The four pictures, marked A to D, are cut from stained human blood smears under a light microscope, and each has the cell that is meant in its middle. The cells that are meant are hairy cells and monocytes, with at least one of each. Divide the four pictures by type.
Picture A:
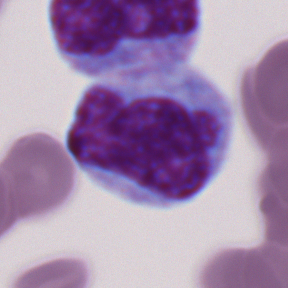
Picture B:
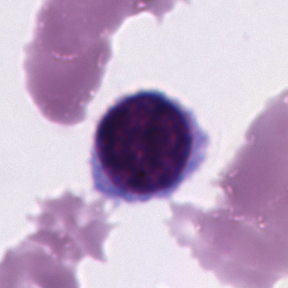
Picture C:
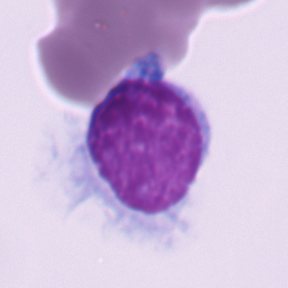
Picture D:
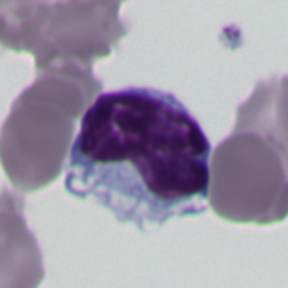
A: monocyte
B: hairy cell
C: hairy cell
D: monocyte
